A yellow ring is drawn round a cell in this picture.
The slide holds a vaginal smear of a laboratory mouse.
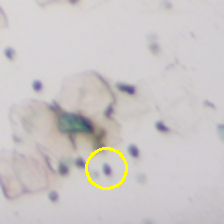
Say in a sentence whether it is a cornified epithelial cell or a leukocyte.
The cell in the ring is a leukocyte.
